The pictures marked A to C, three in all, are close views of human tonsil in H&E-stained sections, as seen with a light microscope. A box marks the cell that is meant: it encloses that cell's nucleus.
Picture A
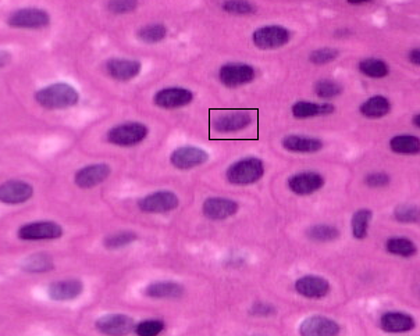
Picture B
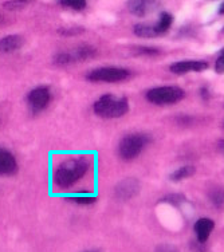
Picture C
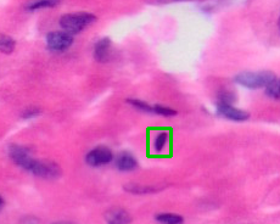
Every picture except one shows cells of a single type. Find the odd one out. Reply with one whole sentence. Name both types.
The different one is picture C; it shows a mast cell, whereas all the others show squamous epithelial cells.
